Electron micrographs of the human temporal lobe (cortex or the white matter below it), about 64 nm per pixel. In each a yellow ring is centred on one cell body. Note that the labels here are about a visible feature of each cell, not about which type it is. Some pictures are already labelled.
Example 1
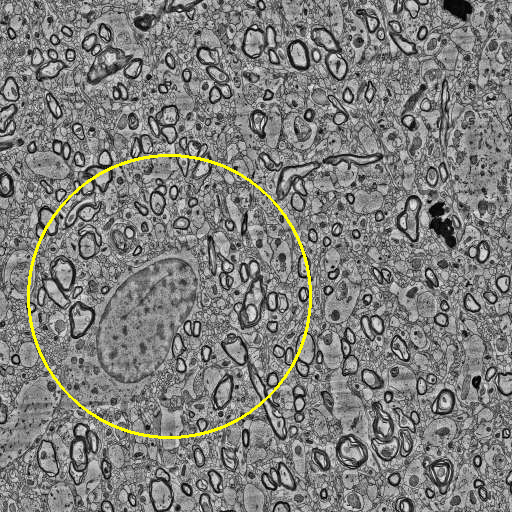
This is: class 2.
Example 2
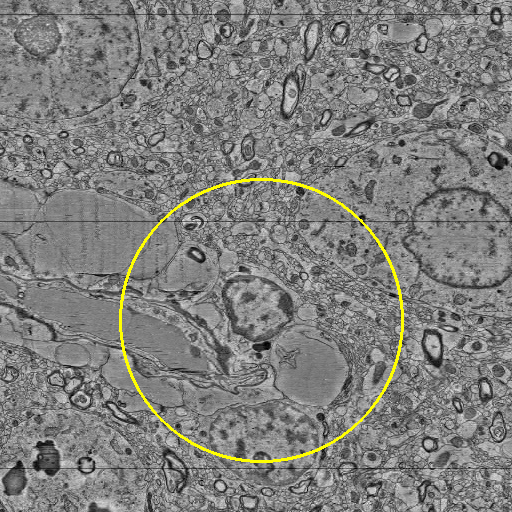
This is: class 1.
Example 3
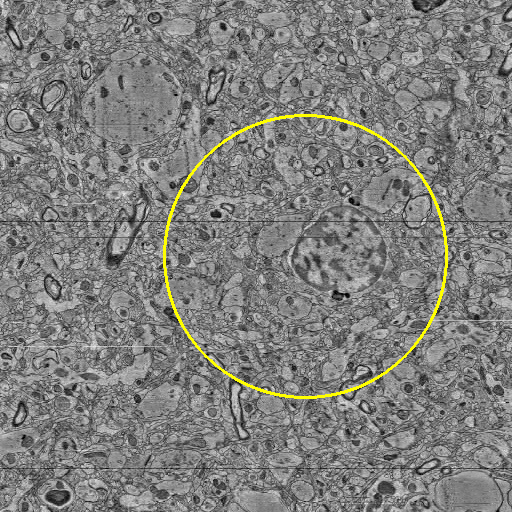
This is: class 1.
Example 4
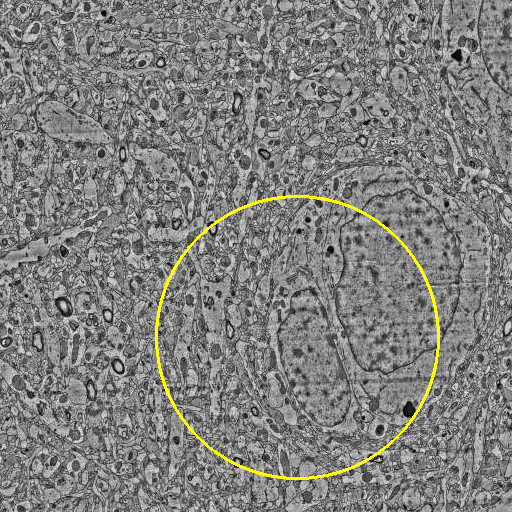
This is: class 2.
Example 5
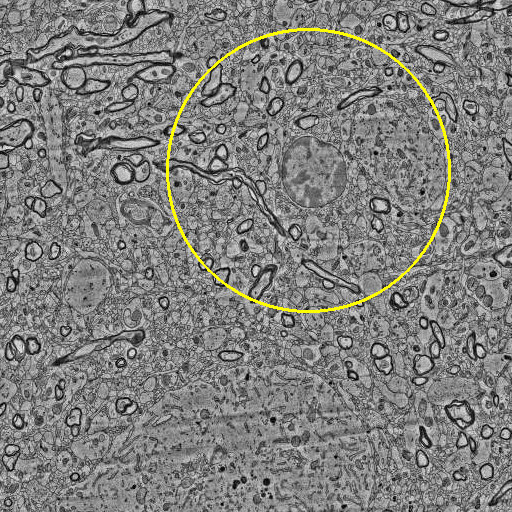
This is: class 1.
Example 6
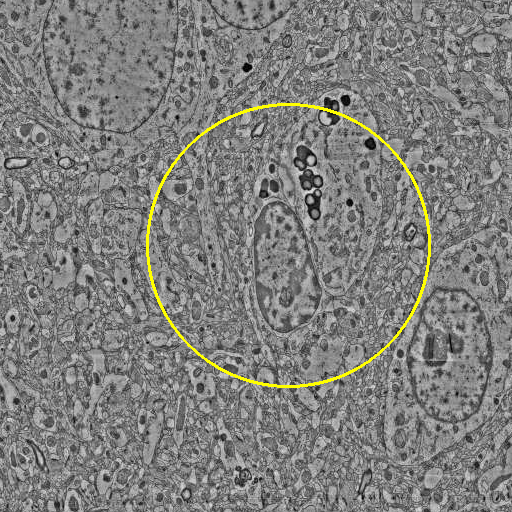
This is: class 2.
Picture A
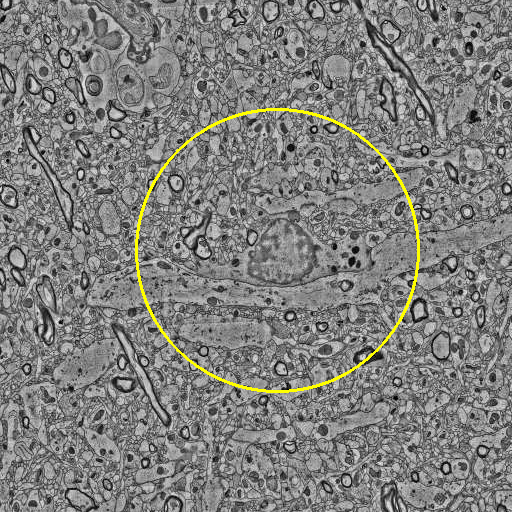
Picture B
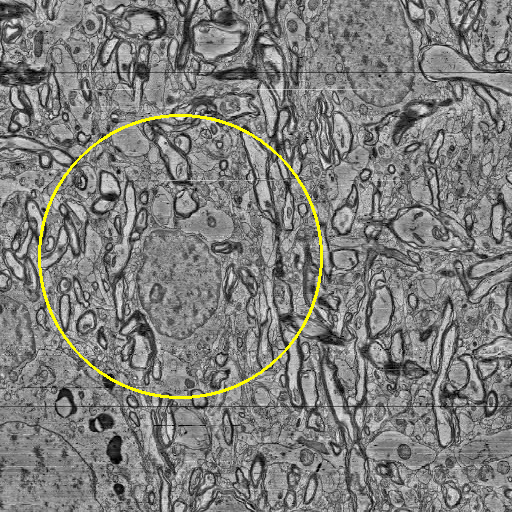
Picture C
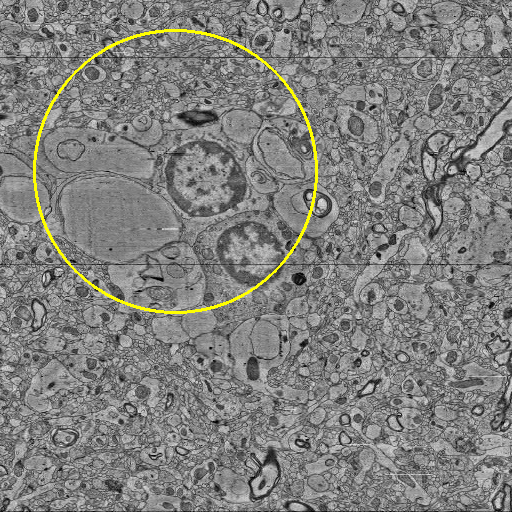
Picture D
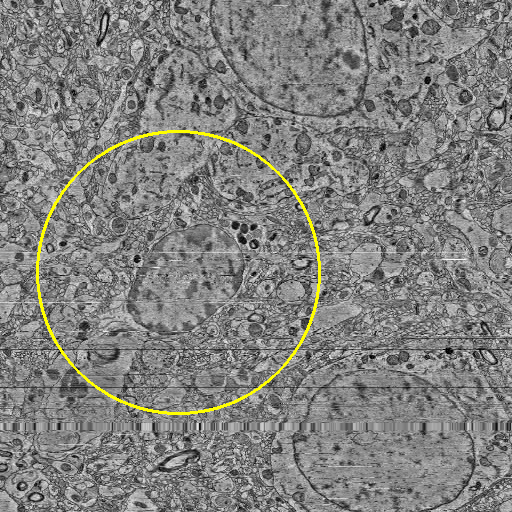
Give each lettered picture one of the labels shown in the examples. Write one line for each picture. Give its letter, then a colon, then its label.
A: class 1.
B: class 1.
C: class 1.
D: class 1.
